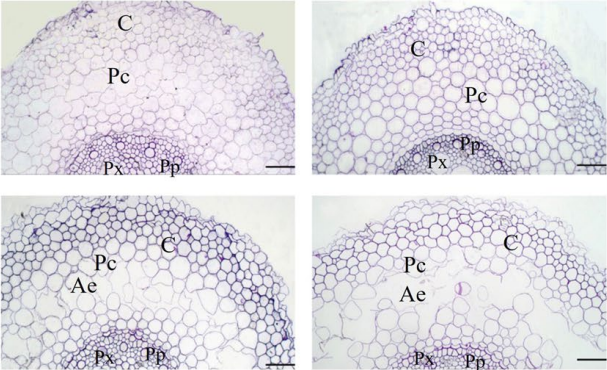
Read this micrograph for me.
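The cortical parenchyma cells are rounded and thin-walled. They are small toward the outer edge and larger toward the middle of the cortex. In the two upper views the cortex is compact, with only small spaces between the cells. In the two lower views, large irregular air spaces (aerenchyma) have opened in the mid cortex where cells have broken down, and they are widest in the lower right view. The stele at the bottom of each view is a dense ring of much smaller cells.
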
